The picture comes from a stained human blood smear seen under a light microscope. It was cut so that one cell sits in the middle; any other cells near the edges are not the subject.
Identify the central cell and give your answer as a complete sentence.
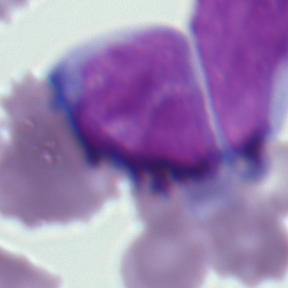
At the crop's centre, the cell is a blast.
